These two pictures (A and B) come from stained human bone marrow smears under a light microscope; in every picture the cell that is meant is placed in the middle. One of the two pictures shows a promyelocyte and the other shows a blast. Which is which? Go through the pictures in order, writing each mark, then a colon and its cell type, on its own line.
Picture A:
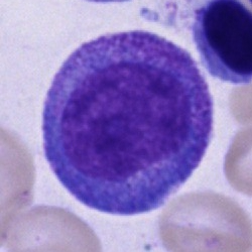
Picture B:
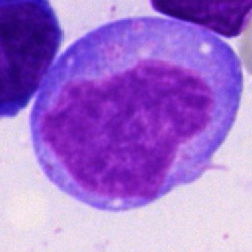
A: promyelocyte
B: blast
